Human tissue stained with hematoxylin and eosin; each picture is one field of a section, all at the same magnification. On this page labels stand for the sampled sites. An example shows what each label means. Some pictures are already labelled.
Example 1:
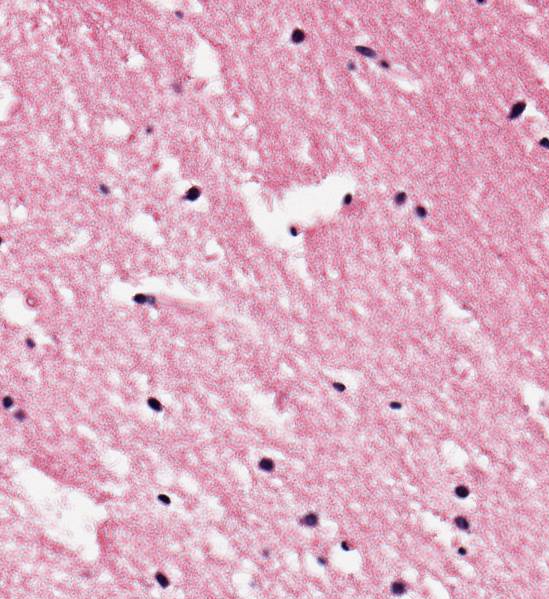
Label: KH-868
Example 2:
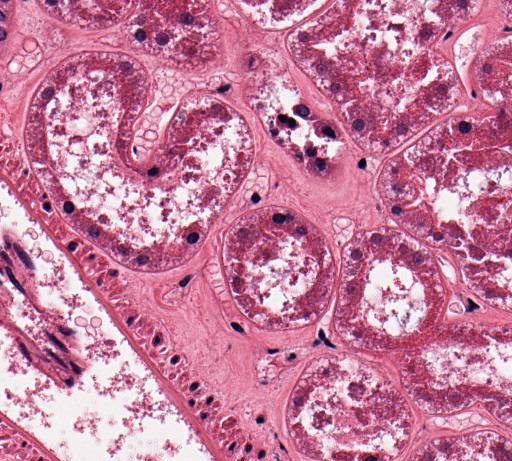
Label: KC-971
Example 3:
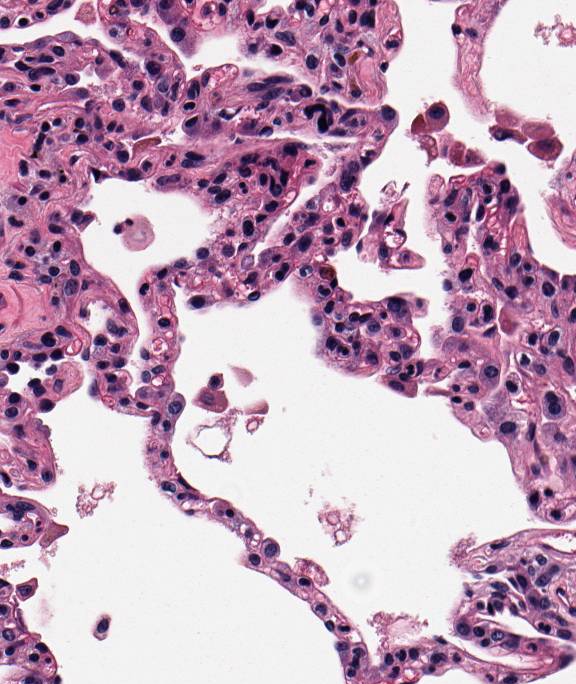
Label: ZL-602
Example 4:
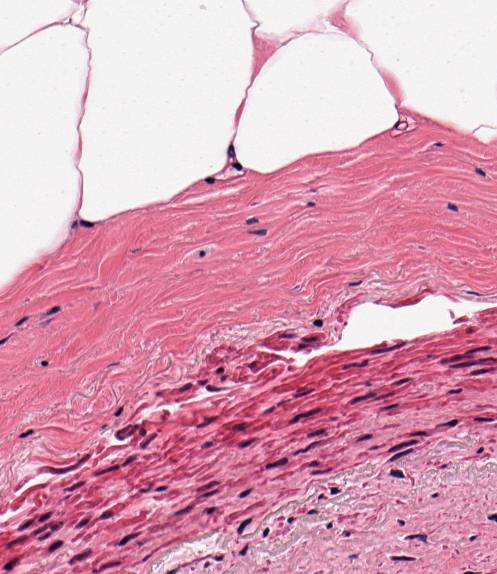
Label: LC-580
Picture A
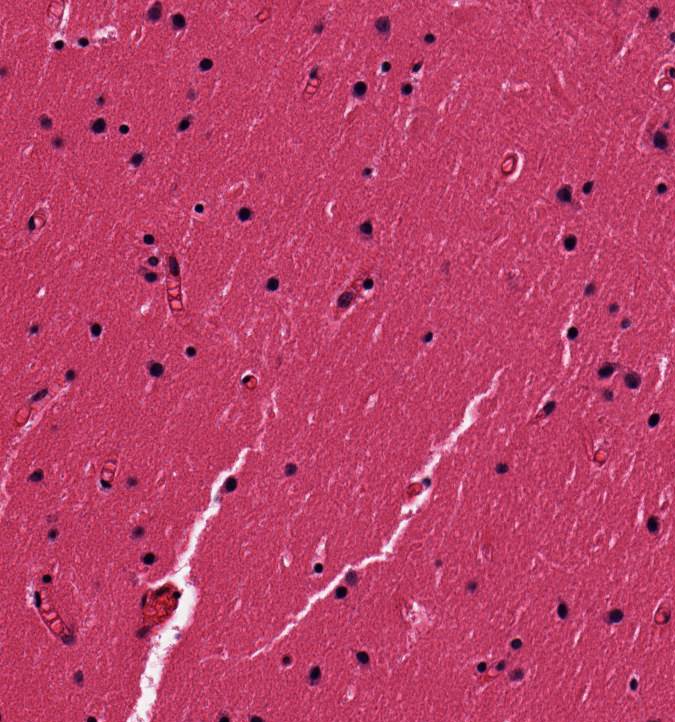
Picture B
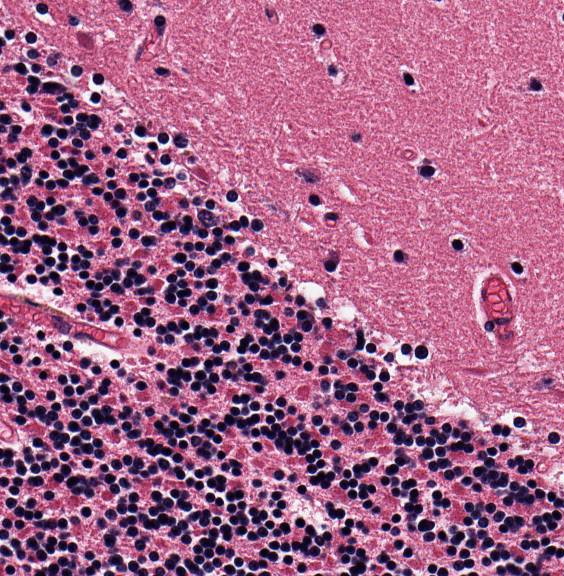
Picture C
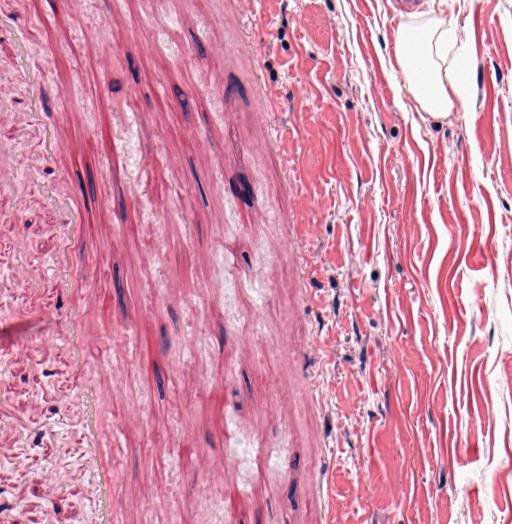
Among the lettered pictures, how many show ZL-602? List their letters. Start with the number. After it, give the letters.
0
